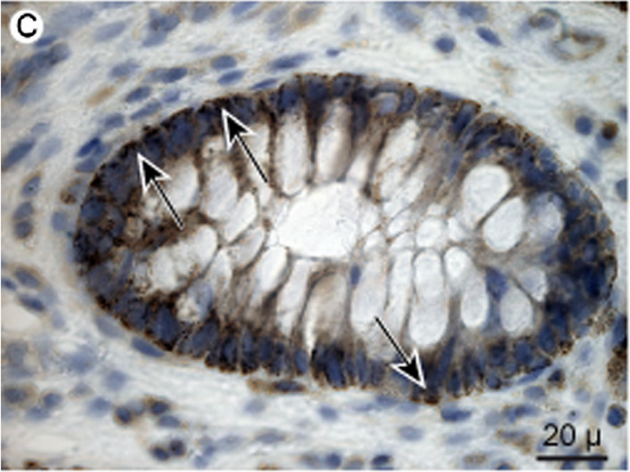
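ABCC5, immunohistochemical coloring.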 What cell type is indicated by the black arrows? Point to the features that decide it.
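Columnar epithelial cells. Brown stain lies along the basal and lateral borders of these cells.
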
